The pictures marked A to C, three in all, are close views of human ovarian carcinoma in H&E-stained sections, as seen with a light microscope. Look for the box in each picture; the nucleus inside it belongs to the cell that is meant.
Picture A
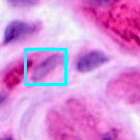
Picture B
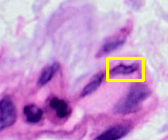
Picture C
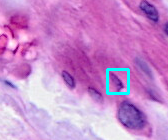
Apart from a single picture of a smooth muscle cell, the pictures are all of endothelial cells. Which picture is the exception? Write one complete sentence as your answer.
The cell in picture C is the smooth muscle cell.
